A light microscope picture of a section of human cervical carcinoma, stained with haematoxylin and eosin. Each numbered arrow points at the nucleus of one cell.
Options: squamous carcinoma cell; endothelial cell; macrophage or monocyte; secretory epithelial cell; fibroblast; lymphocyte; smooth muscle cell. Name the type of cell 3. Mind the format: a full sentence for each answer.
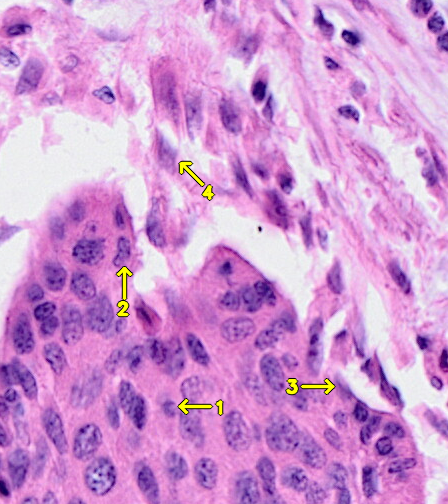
The cell carrying label 3 is identified as a squamous carcinoma cell.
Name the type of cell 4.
Belonging to a fibroblast is the nucleus that carries the number 4.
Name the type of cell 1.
The nucleus labeled 1 belongs to a squamous carcinoma cell.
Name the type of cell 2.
In this section, the cell tagged 2 is a squamous carcinoma cell.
